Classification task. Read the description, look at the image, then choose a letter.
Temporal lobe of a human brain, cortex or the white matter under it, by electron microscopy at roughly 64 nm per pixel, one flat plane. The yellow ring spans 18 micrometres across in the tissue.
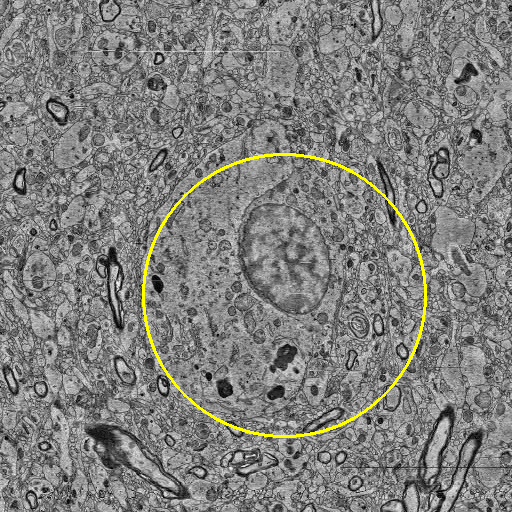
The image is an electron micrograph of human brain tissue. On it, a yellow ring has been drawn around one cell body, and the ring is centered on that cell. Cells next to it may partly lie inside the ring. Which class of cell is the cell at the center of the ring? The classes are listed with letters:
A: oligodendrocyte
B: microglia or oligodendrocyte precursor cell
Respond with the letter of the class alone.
A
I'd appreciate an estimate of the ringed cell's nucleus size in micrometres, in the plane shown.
In this plane the nucleus measures roughly 8 by 5 micrometers.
